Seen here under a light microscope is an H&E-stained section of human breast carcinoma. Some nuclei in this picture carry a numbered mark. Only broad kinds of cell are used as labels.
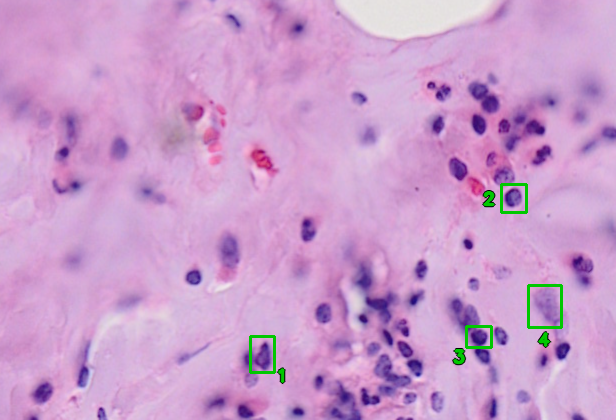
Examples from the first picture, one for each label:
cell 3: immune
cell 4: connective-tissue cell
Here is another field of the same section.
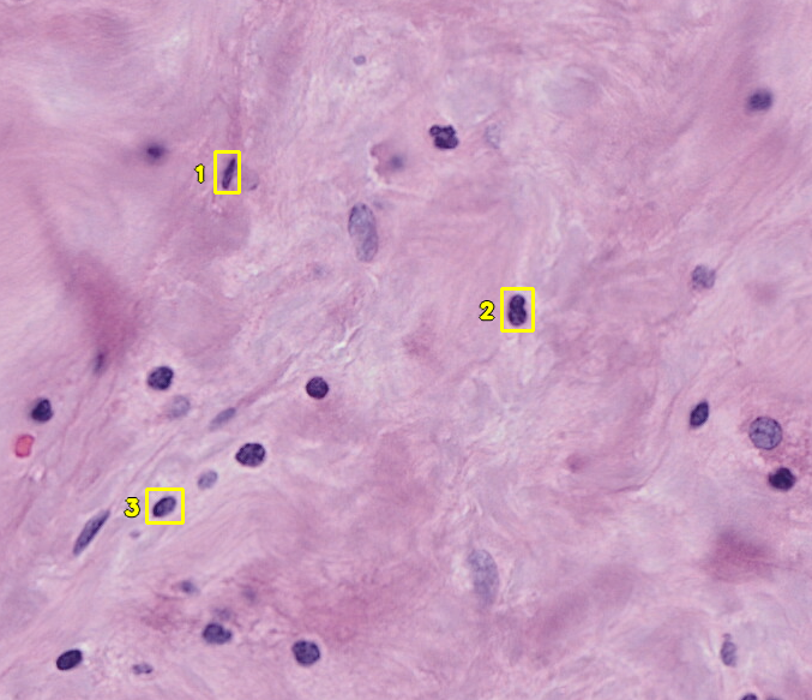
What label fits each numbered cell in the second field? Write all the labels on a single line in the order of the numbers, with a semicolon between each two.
connective-tissue cell; immune; immune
